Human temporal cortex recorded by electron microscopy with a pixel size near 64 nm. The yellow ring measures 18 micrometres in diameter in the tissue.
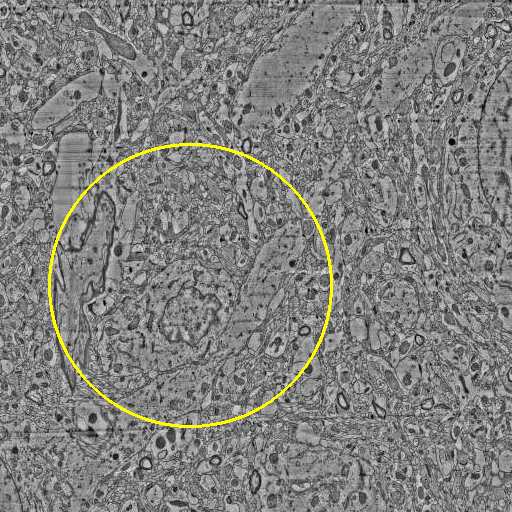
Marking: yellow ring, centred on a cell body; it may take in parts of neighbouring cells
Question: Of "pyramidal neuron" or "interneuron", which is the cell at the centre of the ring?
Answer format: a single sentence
The ring surrounds the body of an interneuron.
